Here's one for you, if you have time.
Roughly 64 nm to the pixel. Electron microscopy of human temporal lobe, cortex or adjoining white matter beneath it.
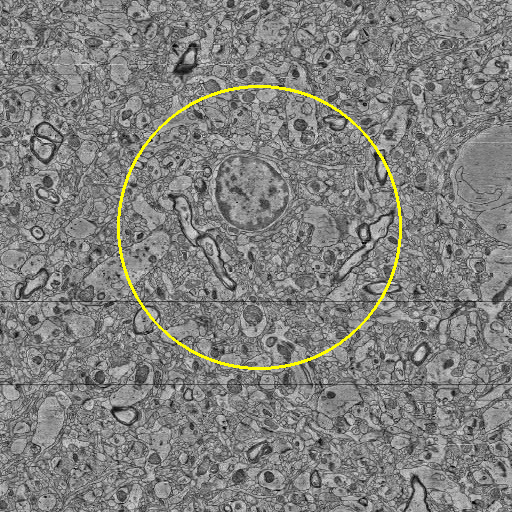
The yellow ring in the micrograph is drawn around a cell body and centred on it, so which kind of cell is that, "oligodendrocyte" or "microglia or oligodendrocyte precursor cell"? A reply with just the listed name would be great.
microglia or oligodendrocyte precursor cell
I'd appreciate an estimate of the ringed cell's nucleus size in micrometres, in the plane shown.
About 5 by 4 micrometres in this plane.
